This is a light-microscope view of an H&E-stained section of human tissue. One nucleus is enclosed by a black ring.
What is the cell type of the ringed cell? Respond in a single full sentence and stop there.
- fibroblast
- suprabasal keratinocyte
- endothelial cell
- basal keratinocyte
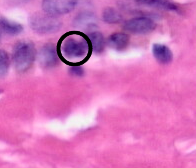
In this tissue sample, the ringed cell is a basal keratinocyte.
